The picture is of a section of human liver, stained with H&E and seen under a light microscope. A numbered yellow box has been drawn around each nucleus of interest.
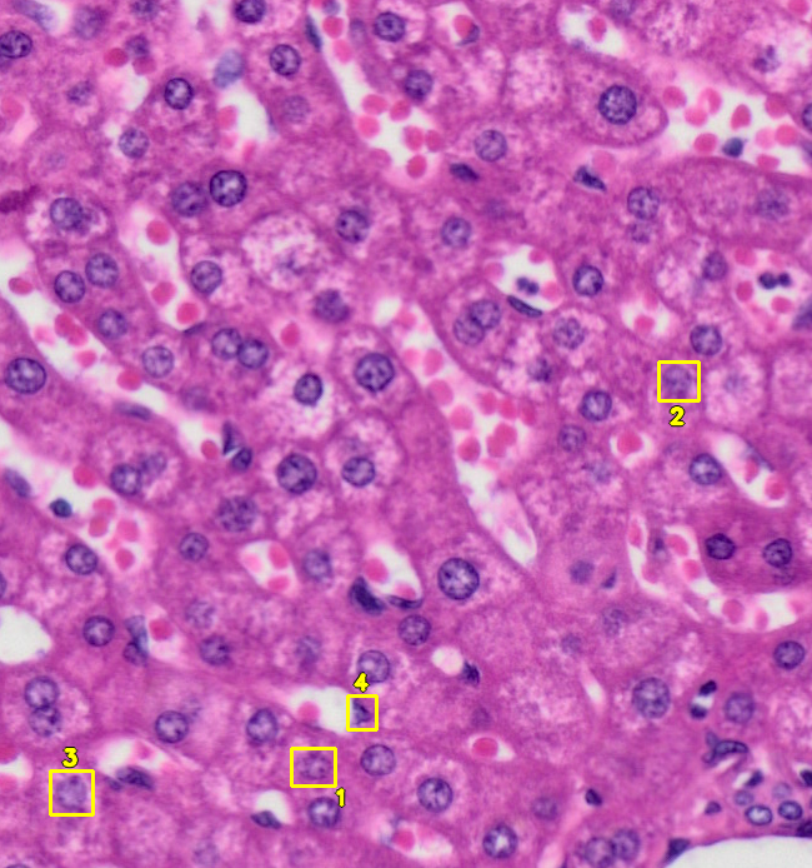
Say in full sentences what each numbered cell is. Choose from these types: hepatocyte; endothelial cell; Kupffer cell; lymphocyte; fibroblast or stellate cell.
Cells 1, 2 and 3 are hepatocytes. Cell 4 is an endothelial cell.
